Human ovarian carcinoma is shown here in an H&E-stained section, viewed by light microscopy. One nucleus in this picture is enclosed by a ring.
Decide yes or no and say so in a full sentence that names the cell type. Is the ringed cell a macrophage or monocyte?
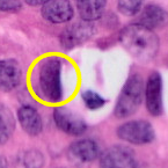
No, the ringed cell is simply a carcinoma cell rather than a macrophage or monocyte.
